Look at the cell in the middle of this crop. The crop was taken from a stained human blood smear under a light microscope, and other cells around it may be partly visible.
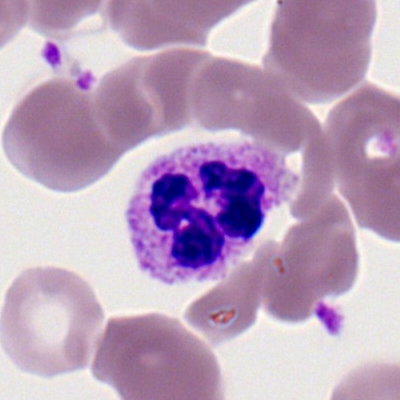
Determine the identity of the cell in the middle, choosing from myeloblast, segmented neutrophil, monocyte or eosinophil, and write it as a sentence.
The cell in the exact centre of the crop is a segmented neutrophil.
